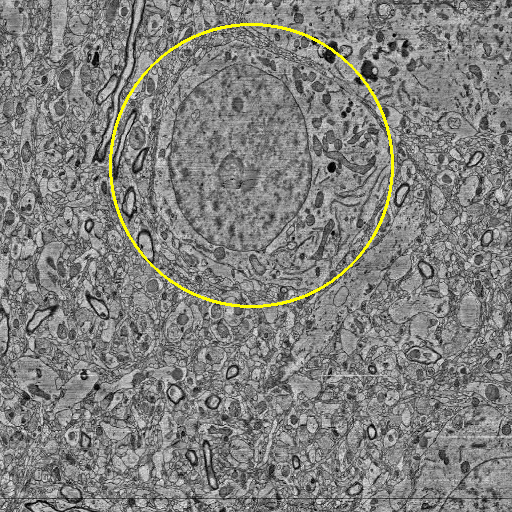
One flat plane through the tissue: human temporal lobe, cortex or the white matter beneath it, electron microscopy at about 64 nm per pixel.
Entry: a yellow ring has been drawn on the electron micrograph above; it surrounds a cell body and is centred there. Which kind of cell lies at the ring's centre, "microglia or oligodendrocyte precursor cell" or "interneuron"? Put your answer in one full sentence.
The cell sitting at the ring's centre is an interneuron in the micrograph above.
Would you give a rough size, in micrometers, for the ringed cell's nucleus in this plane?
Approximately 12 x 9 micrometres in this plane.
